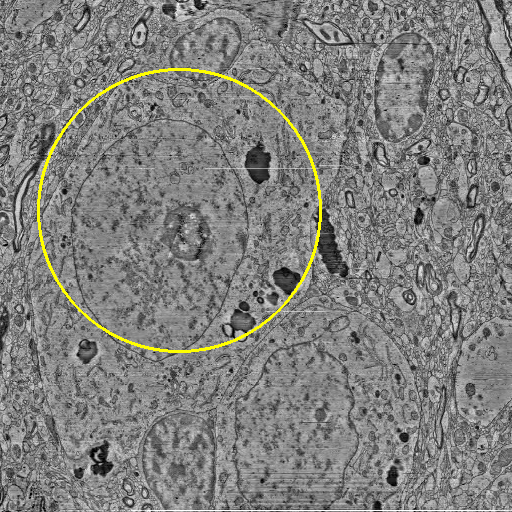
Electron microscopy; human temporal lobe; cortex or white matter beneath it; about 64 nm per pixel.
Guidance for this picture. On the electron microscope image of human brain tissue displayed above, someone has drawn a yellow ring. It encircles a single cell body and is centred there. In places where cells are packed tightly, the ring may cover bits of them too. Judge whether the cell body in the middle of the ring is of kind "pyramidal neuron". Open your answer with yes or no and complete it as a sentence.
Yes, that kind matches the cell whose body lies at the ring's centre in the image above.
